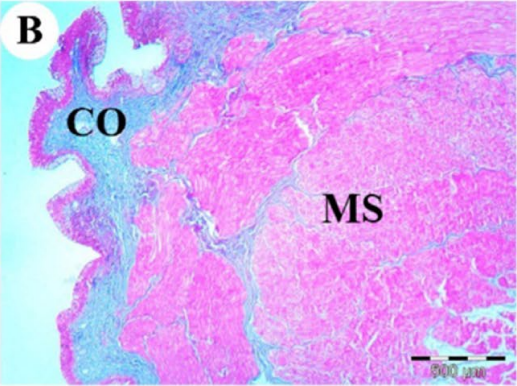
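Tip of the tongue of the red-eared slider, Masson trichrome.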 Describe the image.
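Beneath a thin folded surface epithelium lies a band of blue-green fibrous connective tissue, the collagen fibers of the lamina propria. Deeper, most of the section is filled by red-stained skeletal muscle bundles, with blue-green collagen strands running between them.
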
